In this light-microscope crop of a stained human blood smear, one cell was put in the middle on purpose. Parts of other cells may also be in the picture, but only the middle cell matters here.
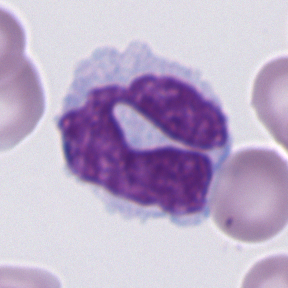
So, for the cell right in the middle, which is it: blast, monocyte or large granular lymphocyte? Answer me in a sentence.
The cell around which this crop is centred is a monocyte.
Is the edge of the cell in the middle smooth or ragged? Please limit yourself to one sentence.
The cell margin is rough and uneven, either ragged or drawn into projections.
